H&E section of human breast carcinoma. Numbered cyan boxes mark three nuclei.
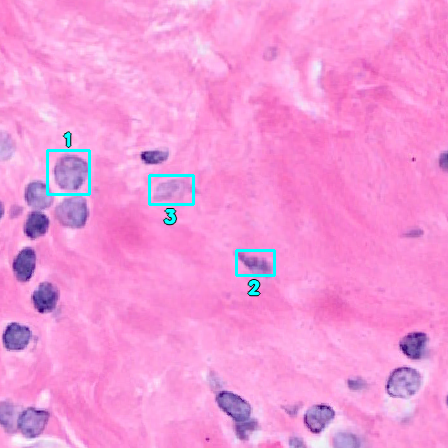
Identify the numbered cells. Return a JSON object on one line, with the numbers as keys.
{"1": "carcinoma cell", "2": "fibroblast", "3": "fibroblast"}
